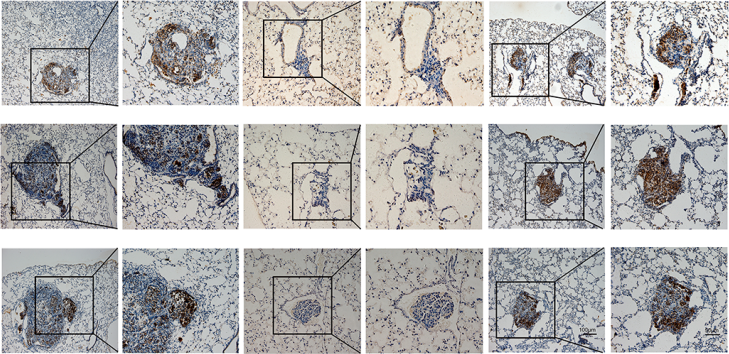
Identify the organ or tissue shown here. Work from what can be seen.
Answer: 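Thin-walled alveolar spaces fill the background. Small vessels and airway-like spaces lie among the alveoli. So: lung tissues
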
